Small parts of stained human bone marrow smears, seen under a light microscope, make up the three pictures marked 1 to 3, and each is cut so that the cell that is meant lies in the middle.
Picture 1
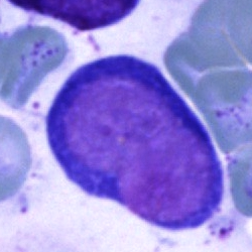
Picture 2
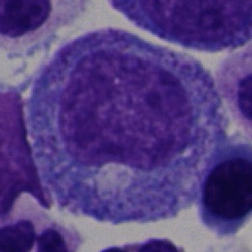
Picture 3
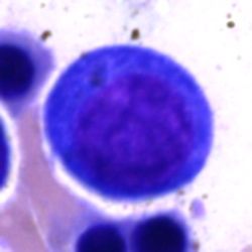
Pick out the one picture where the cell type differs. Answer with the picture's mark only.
2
